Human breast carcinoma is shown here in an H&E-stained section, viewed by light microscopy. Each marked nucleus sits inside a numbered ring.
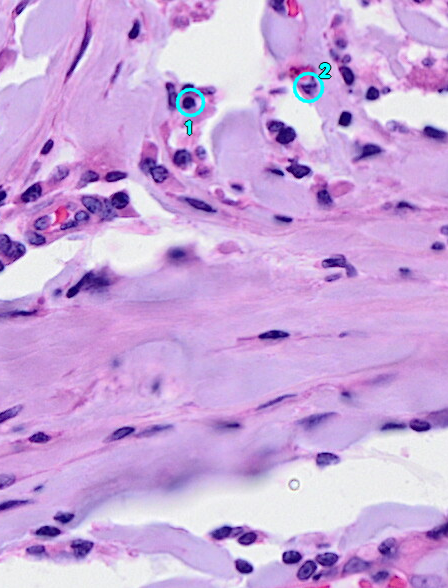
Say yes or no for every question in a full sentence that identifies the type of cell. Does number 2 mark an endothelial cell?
Yes, in this tissue section, number 2 is an endothelial cell.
